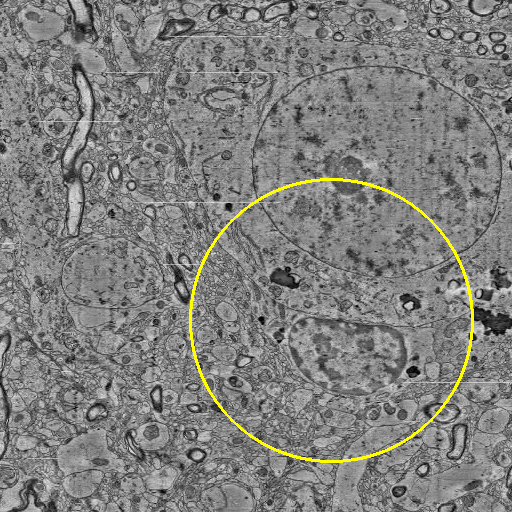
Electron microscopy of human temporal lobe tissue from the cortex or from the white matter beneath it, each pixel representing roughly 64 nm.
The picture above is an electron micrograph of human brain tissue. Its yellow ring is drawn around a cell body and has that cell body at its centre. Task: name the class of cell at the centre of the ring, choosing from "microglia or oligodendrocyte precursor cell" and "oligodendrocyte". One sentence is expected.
The ring surrounds the body of a microglial cell or oligodendrocyte precursor cell.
